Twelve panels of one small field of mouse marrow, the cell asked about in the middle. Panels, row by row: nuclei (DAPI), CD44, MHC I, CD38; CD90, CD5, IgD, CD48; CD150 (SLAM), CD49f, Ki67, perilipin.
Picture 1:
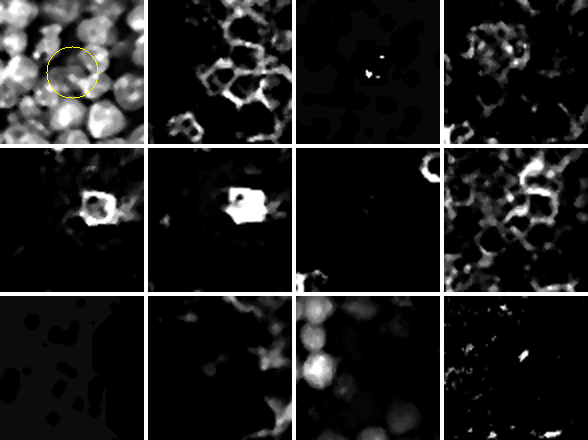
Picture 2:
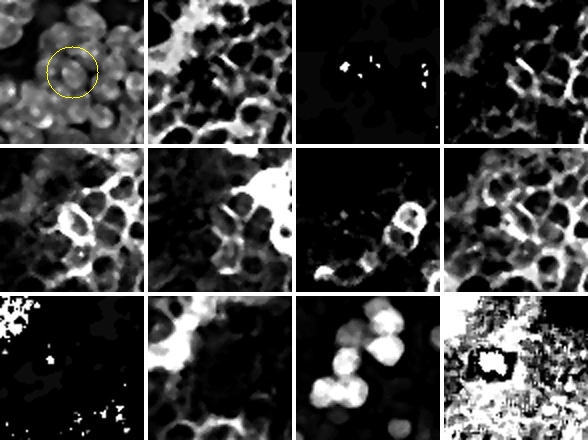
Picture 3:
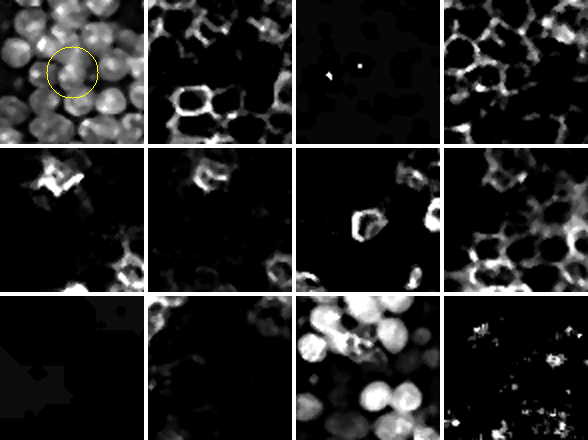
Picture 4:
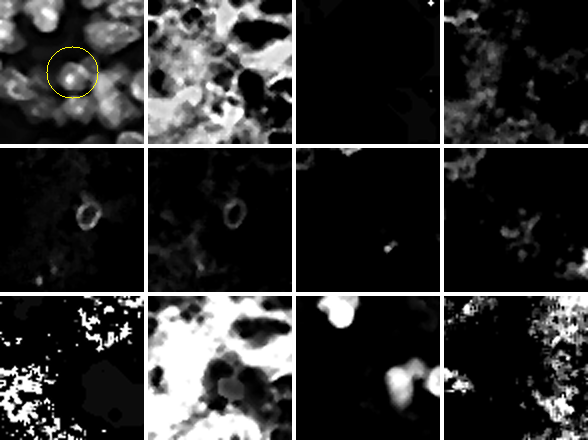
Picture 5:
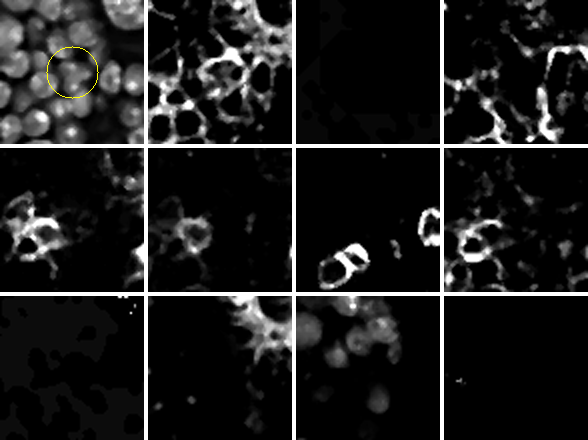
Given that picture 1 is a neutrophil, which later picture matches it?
5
